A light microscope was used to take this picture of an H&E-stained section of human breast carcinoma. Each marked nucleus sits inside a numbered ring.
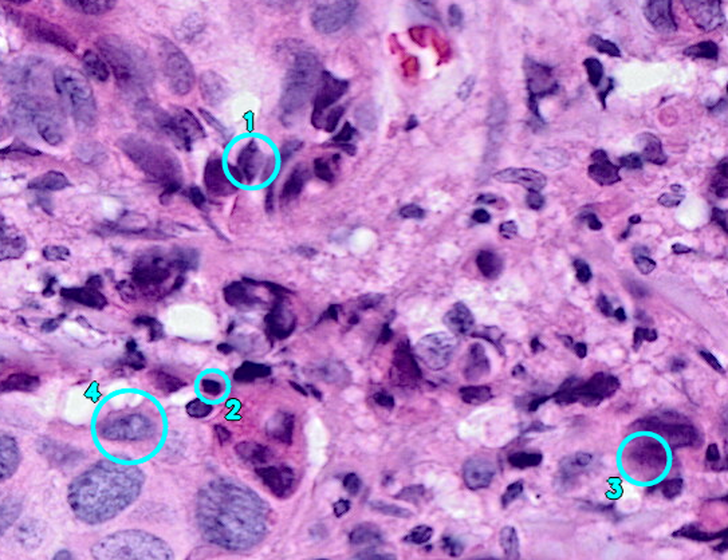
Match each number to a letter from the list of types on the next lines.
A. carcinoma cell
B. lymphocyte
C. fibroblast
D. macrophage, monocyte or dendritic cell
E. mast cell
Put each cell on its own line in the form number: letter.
1: A
2: B
3: A
4: A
